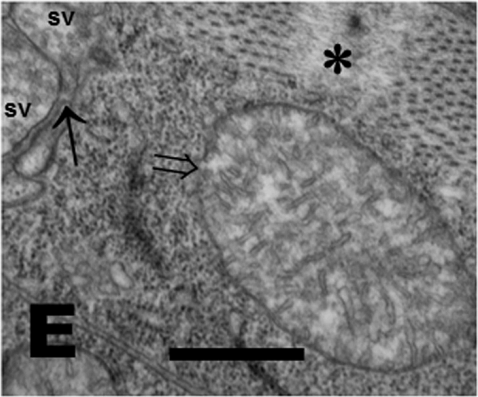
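A large oval swollen mitochondrion of a muscle cell lies in granular cytoplasm, its matrix pale and patchy with scattered cristae, an open arrow marking its outer membrane. At the upper left, profiles containing small vesicles meet at a close membrane contact marked by a solid arrow, a synapse. At the upper right, striated myofibrils show a pale, poorly dense zone marked by an asterisk.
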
